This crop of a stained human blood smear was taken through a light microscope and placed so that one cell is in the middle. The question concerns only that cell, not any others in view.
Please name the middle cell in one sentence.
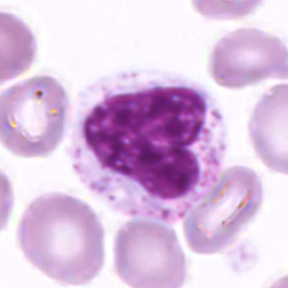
The crop centres on a single cell, and that cell is a band neutrophil.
